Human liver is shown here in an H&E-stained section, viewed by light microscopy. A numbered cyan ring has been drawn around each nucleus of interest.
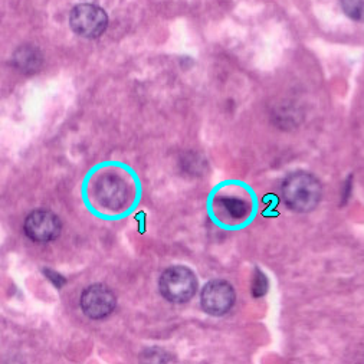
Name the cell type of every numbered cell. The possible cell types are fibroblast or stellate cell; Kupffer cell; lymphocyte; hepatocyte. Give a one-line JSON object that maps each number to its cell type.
{"1": "hepatocyte", "2": "fibroblast or stellate cell"}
